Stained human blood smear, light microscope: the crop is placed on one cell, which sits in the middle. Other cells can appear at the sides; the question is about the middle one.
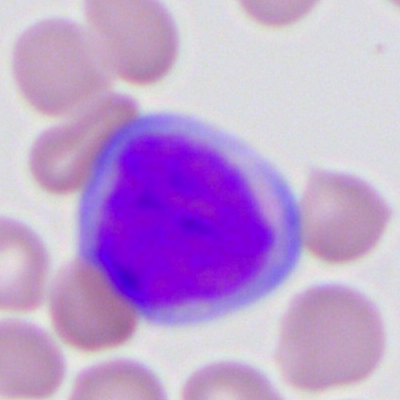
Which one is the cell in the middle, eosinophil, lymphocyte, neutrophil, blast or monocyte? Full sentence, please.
On this slide crop, the central cell is a blast.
